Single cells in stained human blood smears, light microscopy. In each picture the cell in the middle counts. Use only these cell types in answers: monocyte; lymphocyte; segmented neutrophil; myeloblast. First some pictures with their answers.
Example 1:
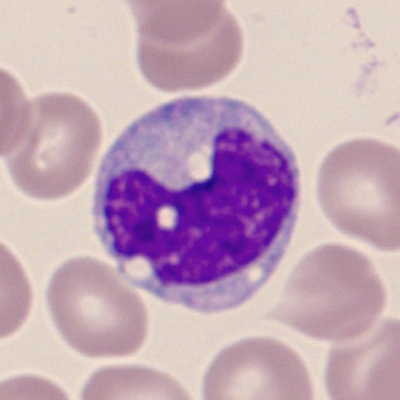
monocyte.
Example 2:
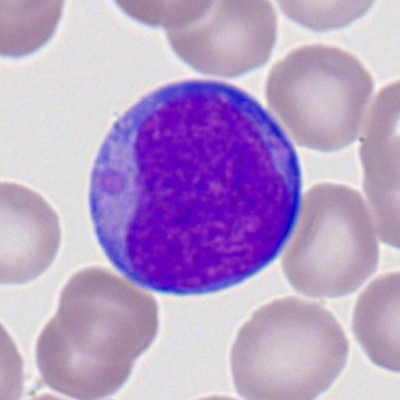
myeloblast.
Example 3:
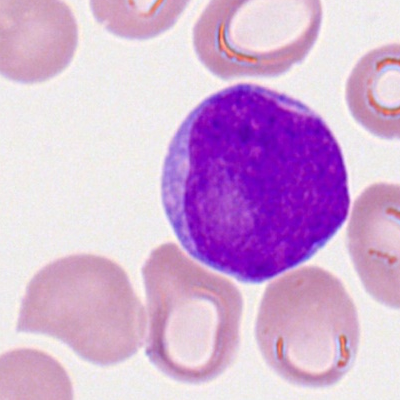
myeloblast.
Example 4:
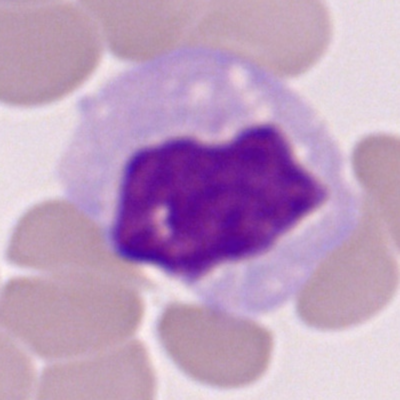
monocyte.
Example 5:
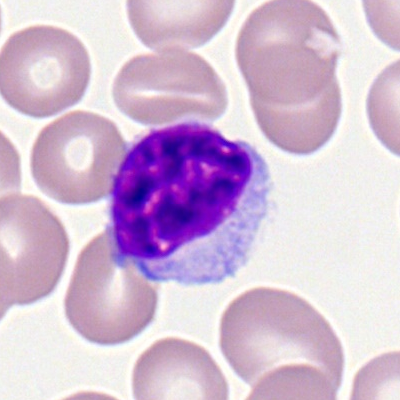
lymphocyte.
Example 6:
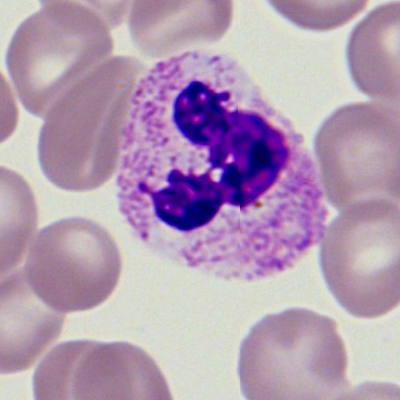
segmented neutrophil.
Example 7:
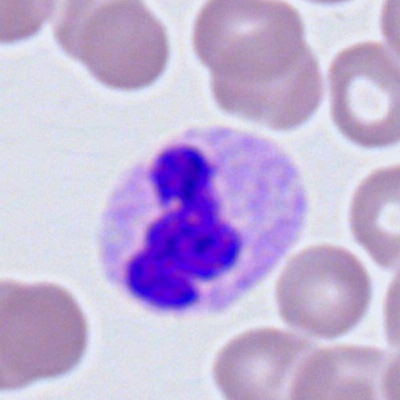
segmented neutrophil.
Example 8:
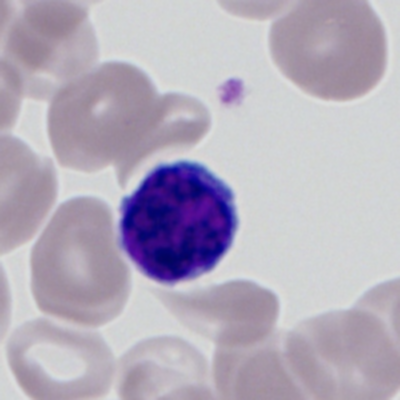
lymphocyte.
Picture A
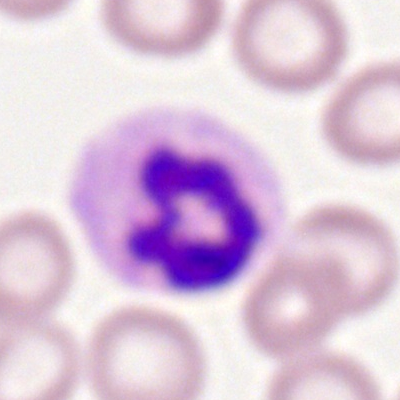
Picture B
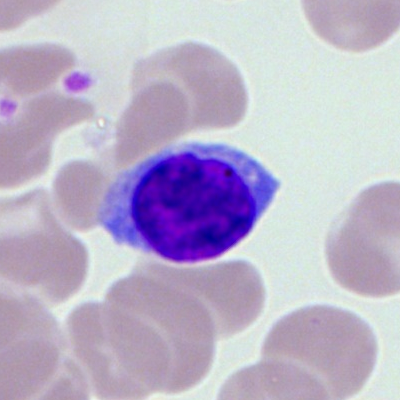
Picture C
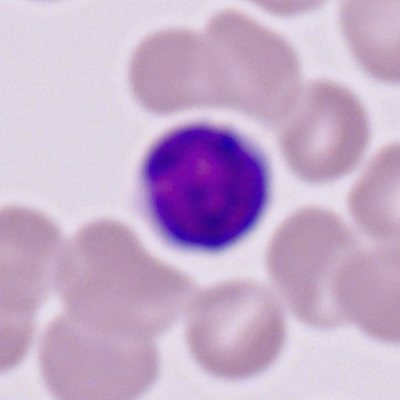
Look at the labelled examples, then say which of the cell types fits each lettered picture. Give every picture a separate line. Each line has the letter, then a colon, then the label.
A: segmented neutrophil.
B: lymphocyte.
C: lymphocyte.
